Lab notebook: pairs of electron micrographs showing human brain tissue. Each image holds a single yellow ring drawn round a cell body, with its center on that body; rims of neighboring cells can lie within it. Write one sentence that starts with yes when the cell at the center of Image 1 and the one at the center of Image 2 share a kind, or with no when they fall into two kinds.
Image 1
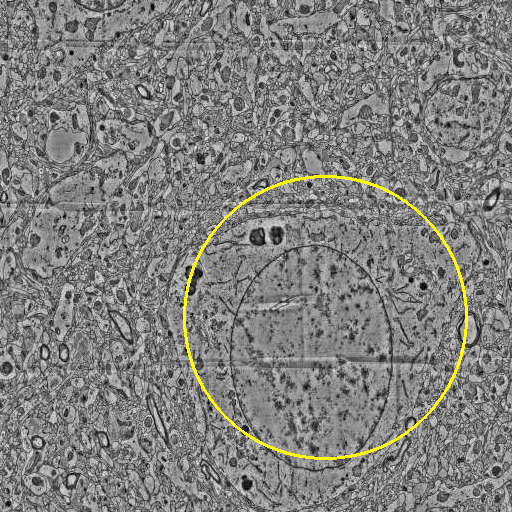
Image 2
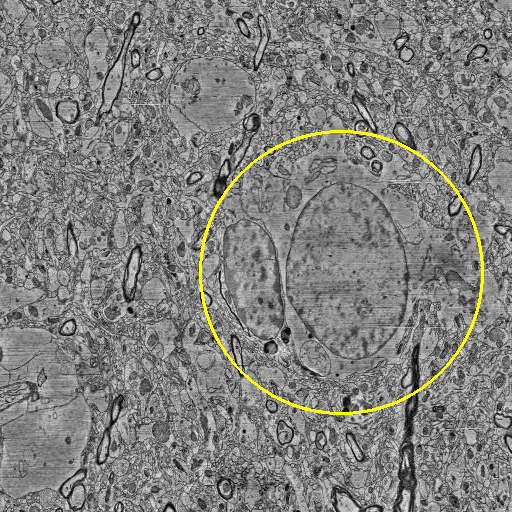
No, the centered cell in Image 1 and the centered cell in Image 2 are of two kinds.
